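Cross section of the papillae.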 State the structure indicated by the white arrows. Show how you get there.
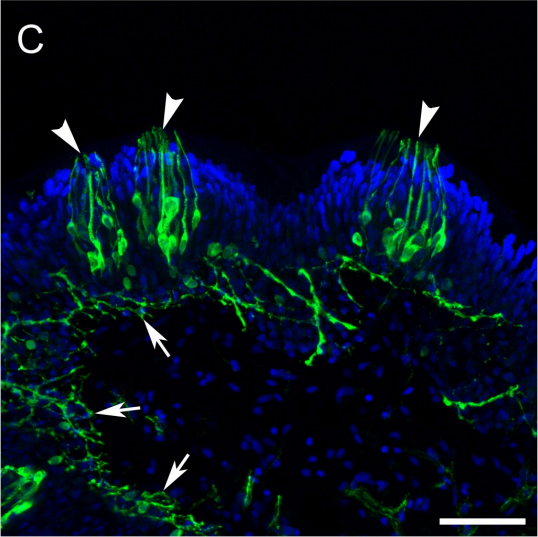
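Thin beaded green fibres run beneath the epithelial layer of blue nuclei. The fibres branch and connect regions under neighbouring green cell clusters. That points to this answer: neuronal network.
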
